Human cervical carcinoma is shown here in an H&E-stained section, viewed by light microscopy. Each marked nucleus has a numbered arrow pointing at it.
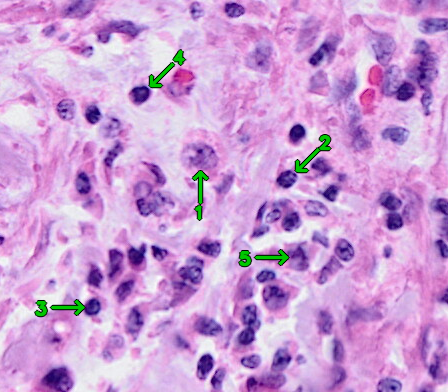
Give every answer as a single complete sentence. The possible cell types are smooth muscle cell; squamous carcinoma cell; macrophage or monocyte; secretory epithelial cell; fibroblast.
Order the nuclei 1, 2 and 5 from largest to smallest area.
From largest to smallest, the order is 1, 5, 2.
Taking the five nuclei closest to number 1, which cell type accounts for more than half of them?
Of the five nuclei nearest to number 1, most belong to fibroblasts.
